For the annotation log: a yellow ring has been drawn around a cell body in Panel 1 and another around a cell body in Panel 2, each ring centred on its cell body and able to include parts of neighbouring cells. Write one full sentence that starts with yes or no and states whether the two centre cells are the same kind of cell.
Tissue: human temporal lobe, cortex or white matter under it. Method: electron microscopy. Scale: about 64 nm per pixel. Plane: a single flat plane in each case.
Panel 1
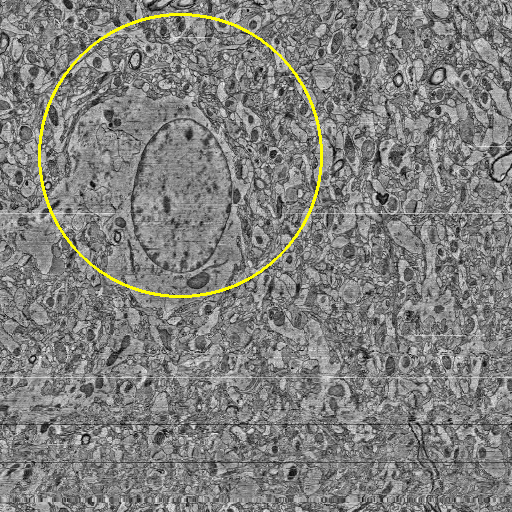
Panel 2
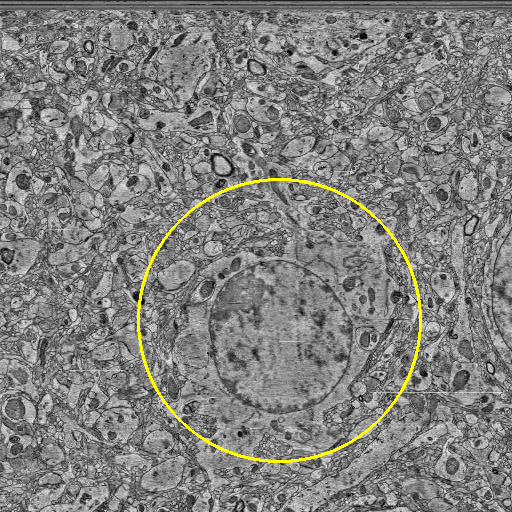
Yes, the two centre cells are the same kind of cell.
